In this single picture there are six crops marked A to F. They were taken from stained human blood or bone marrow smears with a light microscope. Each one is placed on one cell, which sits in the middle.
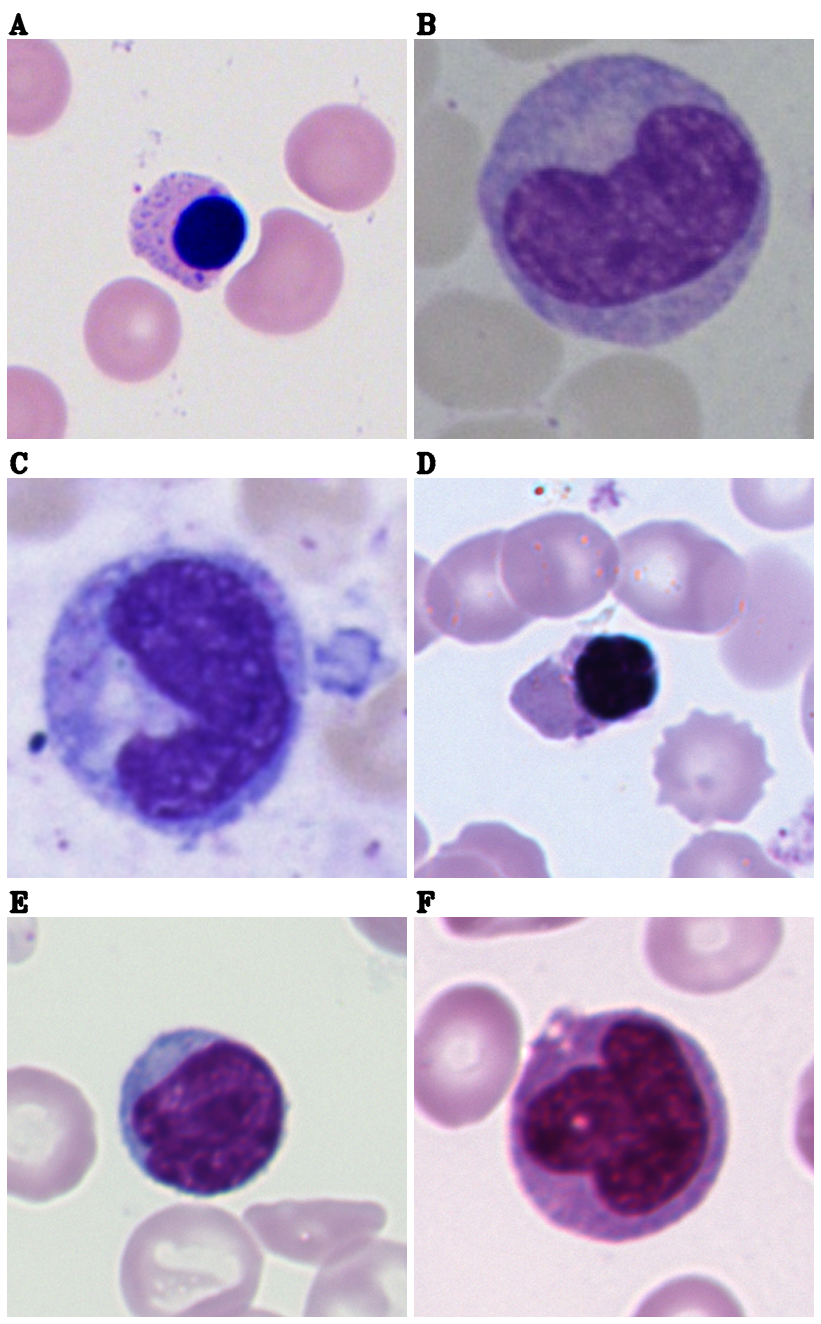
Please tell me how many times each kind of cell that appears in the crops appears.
monocyte: 3
erythroblast: 2
lymphocyte: 1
